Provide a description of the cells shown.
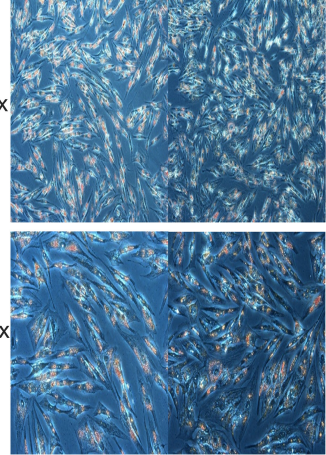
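The cells are densely packed, elongated to spindle-shaped and aligned in roughly parallel streams. Their cytoplasm contains numerous small orange-red droplets, clustered around the nuclei and along the cell bodies, and these droplets are present in most cells across every field. At the higher magnification the droplets are resolved as discrete round granules within individual cells, giving the culture a speckled orange appearance against the bluish background.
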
